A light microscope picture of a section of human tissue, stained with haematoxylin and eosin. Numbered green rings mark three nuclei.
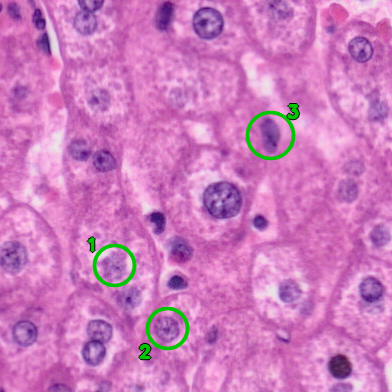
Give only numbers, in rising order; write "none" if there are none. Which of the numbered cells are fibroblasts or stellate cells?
3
